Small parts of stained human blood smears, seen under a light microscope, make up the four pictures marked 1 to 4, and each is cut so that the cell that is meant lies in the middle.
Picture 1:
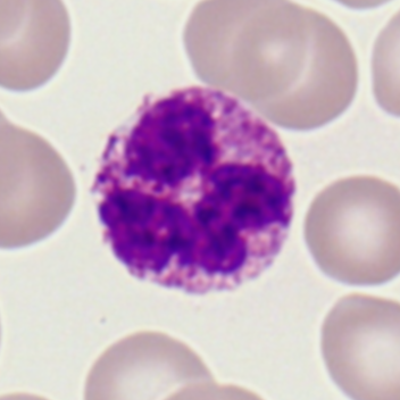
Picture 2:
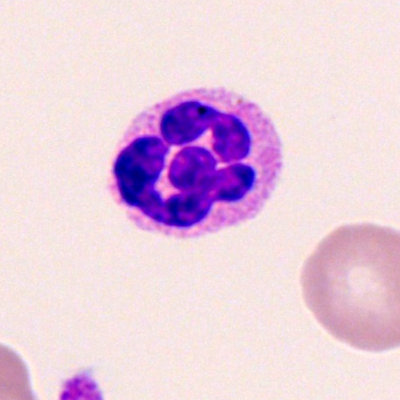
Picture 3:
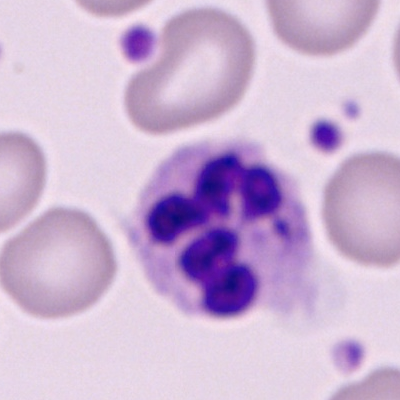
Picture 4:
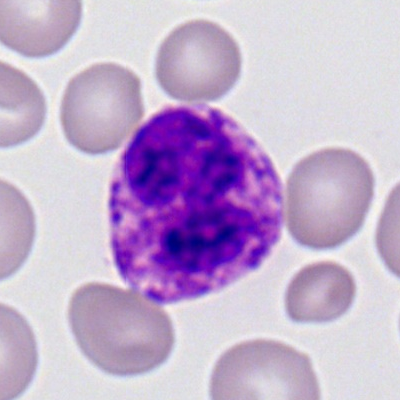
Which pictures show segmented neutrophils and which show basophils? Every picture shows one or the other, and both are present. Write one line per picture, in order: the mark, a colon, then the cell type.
1: basophil
2: segmented neutrophil
3: segmented neutrophil
4: basophil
